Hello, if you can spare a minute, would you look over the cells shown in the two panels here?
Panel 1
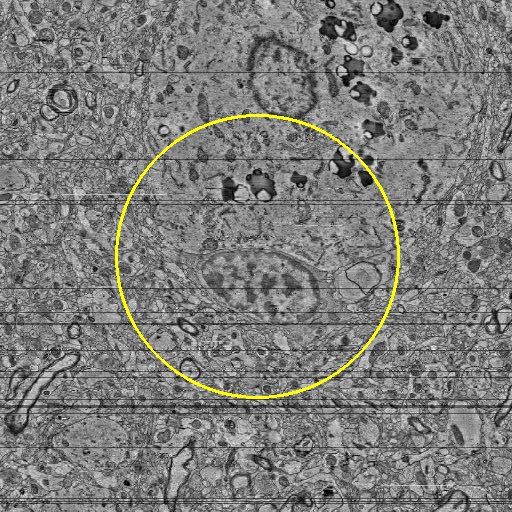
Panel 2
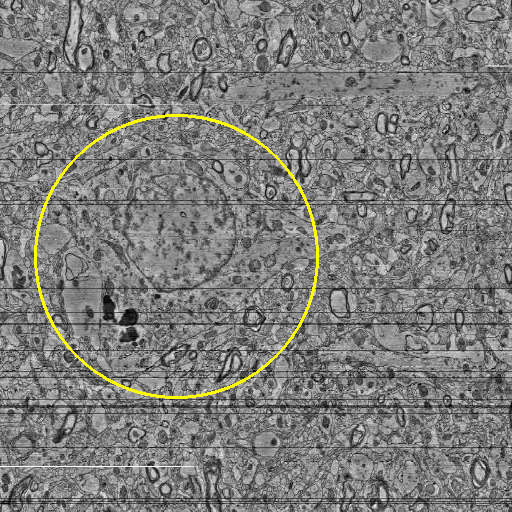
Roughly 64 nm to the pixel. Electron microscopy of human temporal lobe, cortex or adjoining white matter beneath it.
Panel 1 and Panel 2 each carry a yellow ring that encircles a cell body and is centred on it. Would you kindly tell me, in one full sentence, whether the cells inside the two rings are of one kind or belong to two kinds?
The cells at the centres of the rings in Panel 1 and Panel 2 belong to two kinds.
